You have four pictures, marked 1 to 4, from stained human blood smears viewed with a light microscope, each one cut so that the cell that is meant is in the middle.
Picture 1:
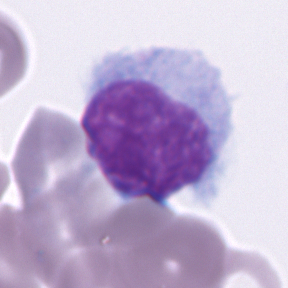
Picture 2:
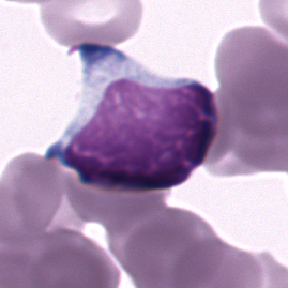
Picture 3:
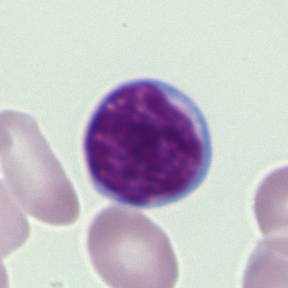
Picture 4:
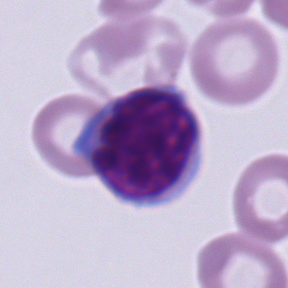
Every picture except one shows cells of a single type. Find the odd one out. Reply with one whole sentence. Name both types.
Picture 1 is the odd one out: it shows a hairy cell, while the others show typical lymphocytes.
